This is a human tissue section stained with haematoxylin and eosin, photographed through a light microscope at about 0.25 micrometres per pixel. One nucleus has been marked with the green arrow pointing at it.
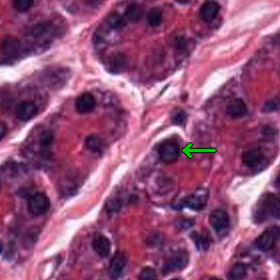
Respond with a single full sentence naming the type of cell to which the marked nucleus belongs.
The cell bearing the marked nucleus is a pancreatic acinar cell.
